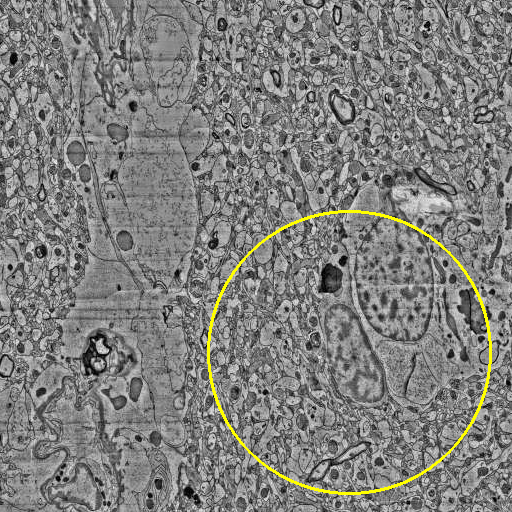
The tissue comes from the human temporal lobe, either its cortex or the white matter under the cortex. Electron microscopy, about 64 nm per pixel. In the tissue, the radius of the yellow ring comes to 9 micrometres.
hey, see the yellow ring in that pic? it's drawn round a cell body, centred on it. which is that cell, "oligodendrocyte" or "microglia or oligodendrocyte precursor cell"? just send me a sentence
The cell in the ring is an oligodendrocyte.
